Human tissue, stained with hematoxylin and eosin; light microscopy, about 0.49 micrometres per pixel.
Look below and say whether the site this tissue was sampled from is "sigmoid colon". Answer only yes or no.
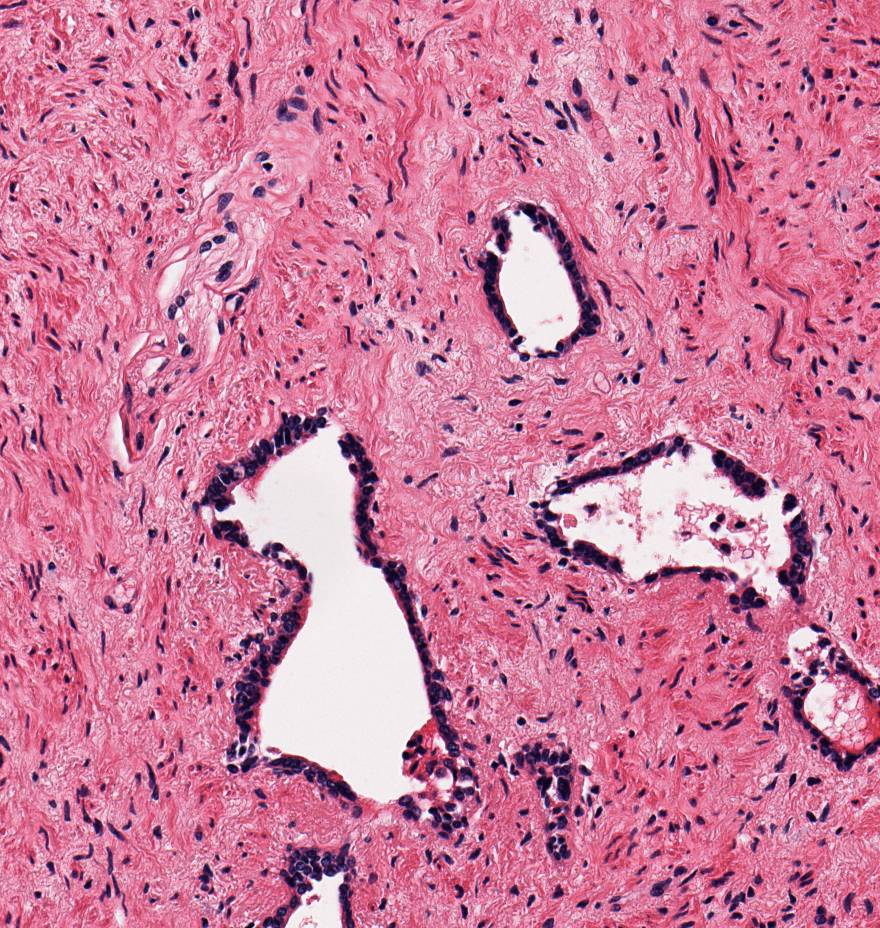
no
